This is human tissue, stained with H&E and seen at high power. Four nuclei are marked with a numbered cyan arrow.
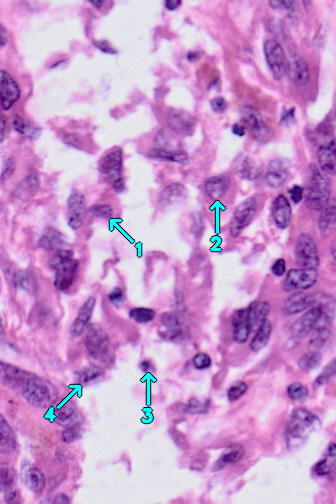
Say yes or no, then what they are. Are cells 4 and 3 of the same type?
No, a melanoma cell is what cell 4 is, and a lymphocyte is what cell 3 is.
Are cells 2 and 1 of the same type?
Yes, cells 2 and 1 are both recognised as melanoma cells.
